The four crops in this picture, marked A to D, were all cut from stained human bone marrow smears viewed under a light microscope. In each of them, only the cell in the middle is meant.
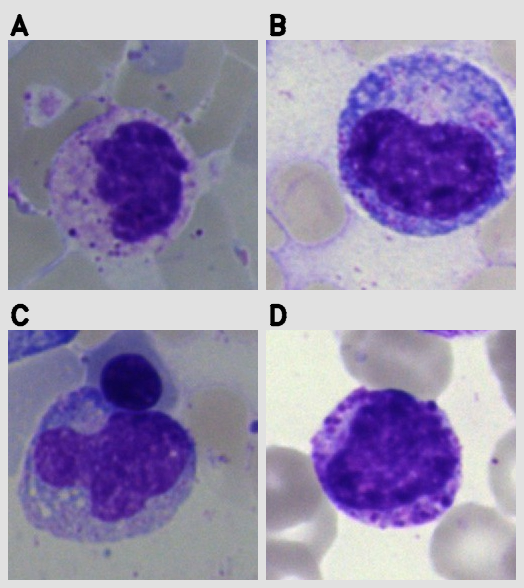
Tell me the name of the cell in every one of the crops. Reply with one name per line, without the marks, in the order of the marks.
basophil
promyelocyte
monocyte
basophil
